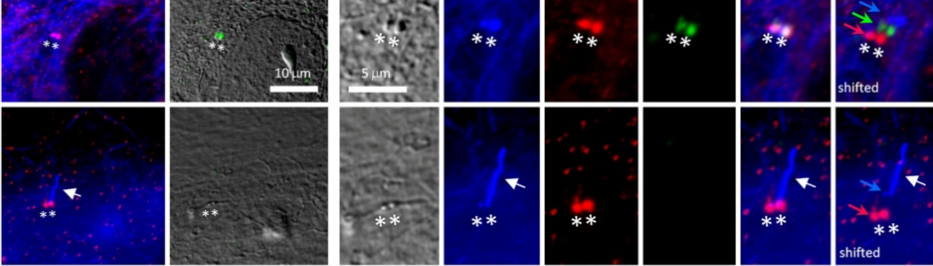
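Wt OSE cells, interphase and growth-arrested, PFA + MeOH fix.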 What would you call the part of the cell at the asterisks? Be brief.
centrioles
